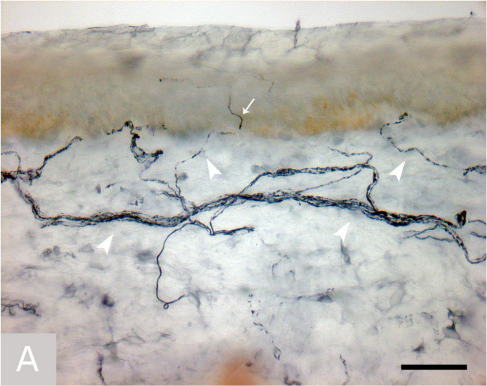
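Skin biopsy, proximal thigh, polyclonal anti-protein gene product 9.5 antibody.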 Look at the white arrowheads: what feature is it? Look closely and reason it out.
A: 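Dermal nerve bundles. Long dark bundles of parallel fibers run horizontally in the dermis. The bundles lie below the epidermis.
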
